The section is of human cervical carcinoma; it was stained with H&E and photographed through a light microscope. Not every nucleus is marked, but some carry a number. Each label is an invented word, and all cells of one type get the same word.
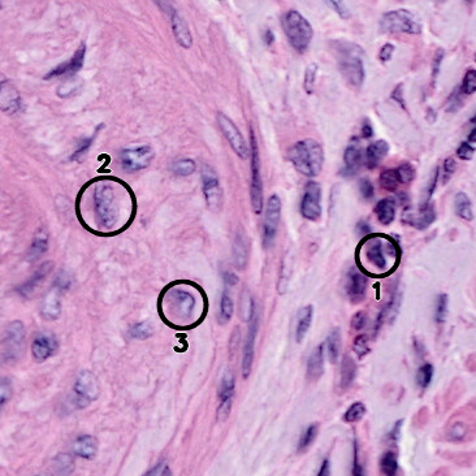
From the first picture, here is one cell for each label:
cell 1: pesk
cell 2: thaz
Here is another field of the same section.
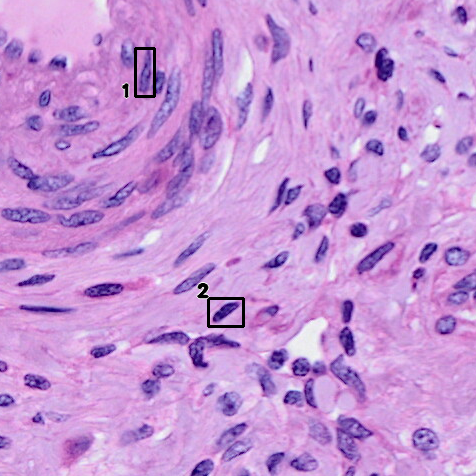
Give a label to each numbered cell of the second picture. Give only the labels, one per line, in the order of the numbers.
thaz
pesk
